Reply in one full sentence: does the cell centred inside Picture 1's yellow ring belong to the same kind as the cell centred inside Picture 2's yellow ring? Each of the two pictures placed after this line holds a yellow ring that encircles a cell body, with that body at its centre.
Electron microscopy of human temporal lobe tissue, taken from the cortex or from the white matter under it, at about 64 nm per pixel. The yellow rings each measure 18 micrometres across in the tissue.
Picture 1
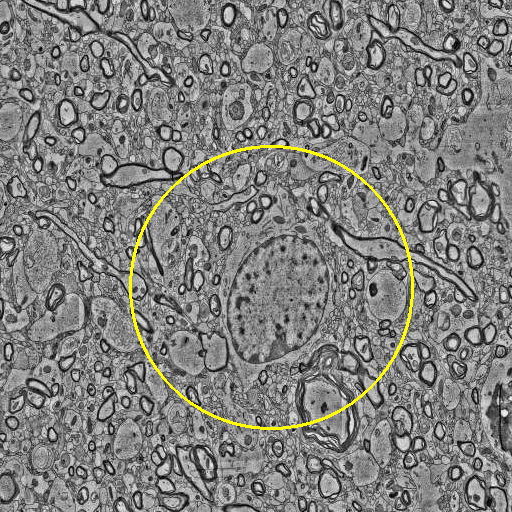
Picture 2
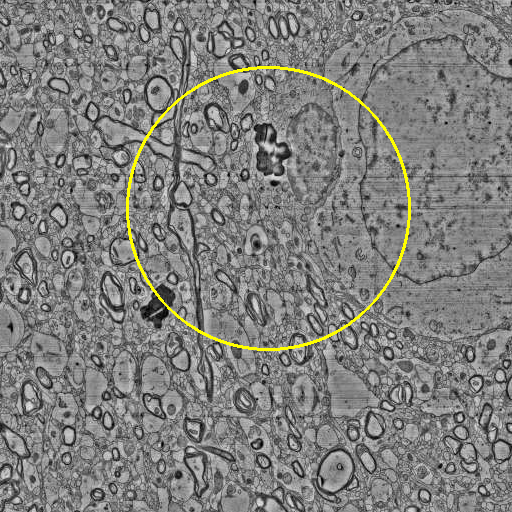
Yes, the ring-centred cells in Picture 1 and Picture 2 are of one and the same kind.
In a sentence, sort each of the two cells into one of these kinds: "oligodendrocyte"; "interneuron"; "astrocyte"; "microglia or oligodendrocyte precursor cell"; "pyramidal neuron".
Both pictures show a microglial cell or oligodendrocyte precursor cell at the centre of the ring.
